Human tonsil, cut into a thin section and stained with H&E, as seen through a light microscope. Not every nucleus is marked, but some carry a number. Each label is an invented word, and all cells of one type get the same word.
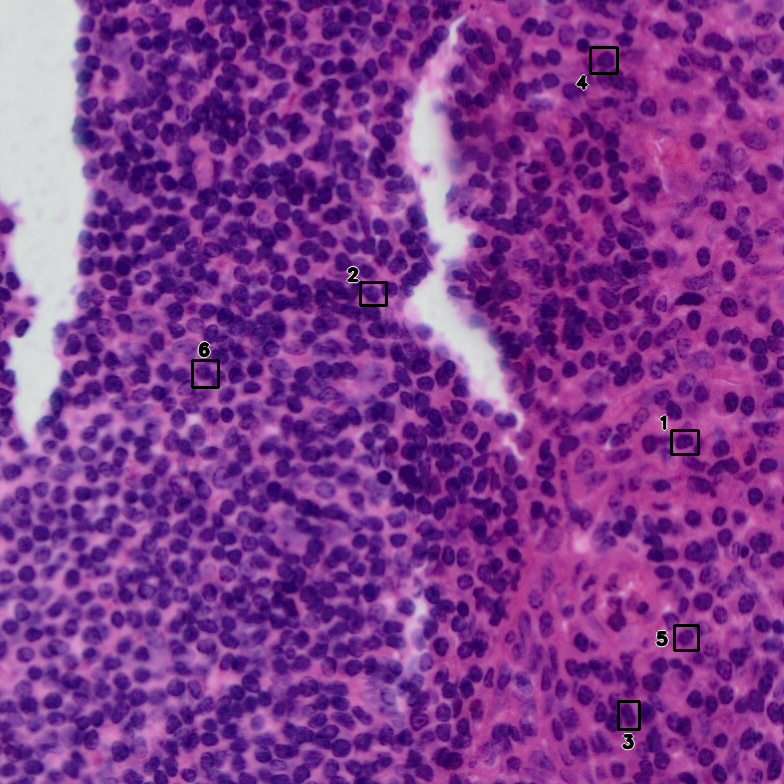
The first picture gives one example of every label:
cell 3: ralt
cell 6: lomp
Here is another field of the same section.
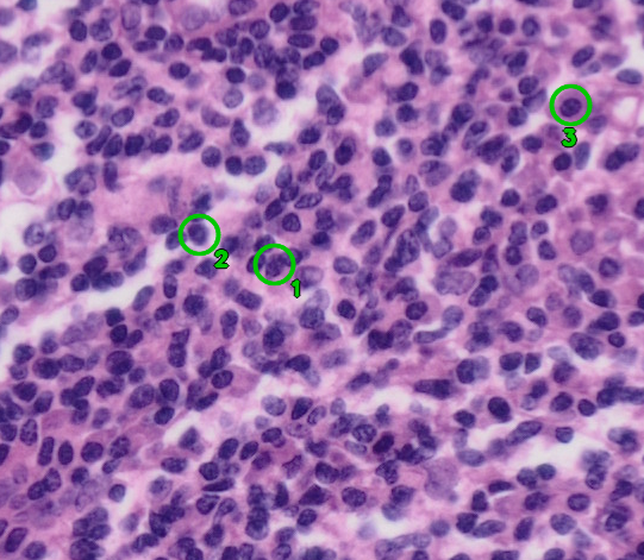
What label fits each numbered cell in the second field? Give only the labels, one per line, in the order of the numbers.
lomp
lomp
ralt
